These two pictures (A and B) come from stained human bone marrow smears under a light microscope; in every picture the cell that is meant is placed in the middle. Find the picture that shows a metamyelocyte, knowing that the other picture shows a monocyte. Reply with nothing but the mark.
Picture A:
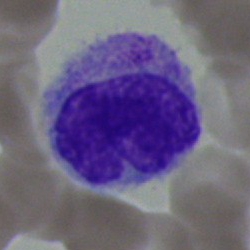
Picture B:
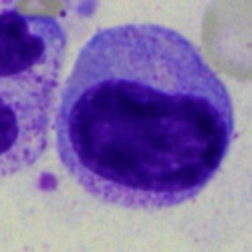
B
